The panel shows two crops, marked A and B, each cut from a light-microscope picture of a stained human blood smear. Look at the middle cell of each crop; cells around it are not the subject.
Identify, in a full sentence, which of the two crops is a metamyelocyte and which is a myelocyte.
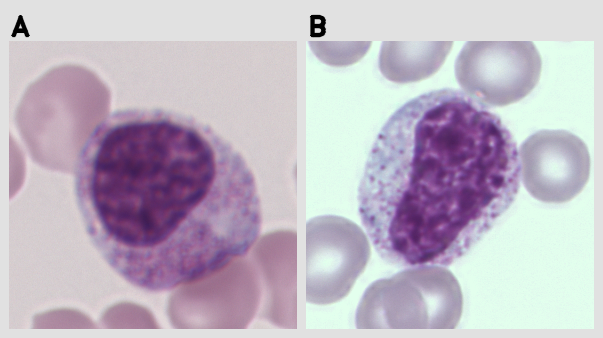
Crop A is designated a myelocyte, and crop B is designated a metamyelocyte.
